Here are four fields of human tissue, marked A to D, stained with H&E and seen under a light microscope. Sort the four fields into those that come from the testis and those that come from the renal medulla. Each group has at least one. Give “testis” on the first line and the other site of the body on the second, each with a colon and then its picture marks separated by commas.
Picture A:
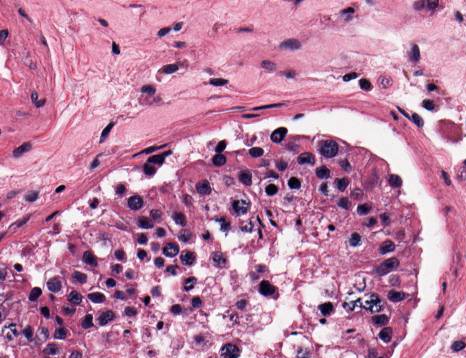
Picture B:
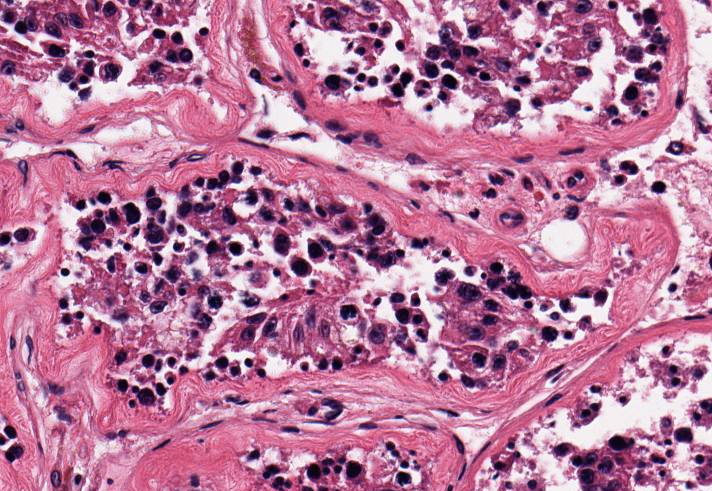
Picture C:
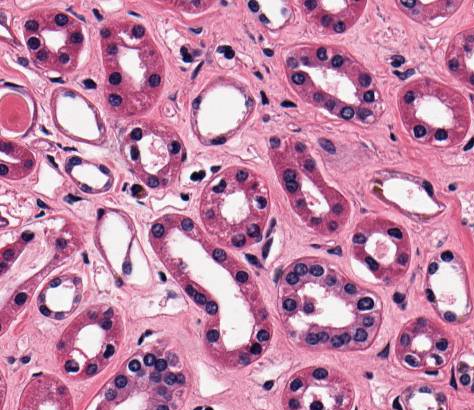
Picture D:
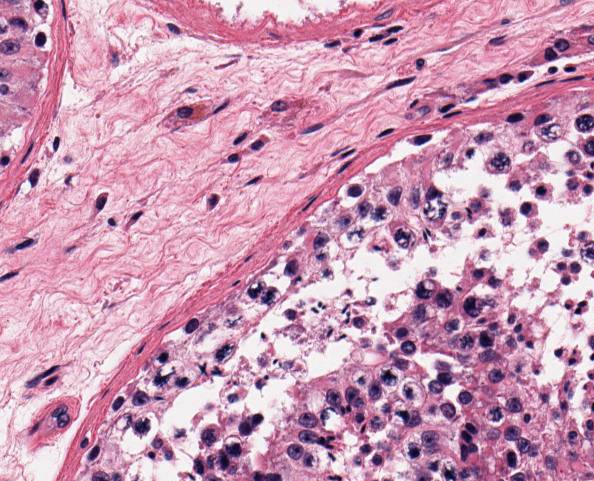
testis: A, B, D
renal medulla: C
